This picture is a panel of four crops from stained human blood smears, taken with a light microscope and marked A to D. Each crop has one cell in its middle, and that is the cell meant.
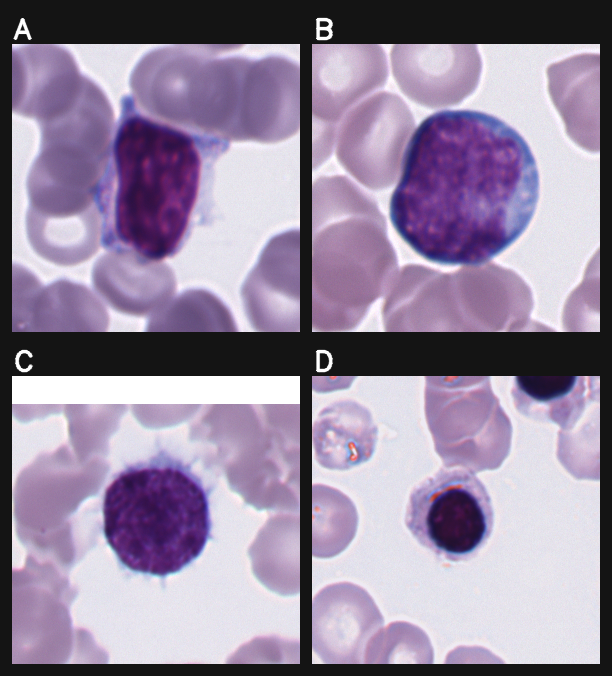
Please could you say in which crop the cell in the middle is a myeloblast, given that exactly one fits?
B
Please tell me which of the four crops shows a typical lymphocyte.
A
